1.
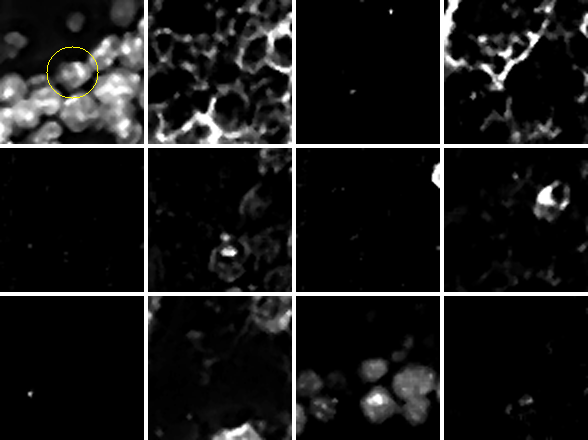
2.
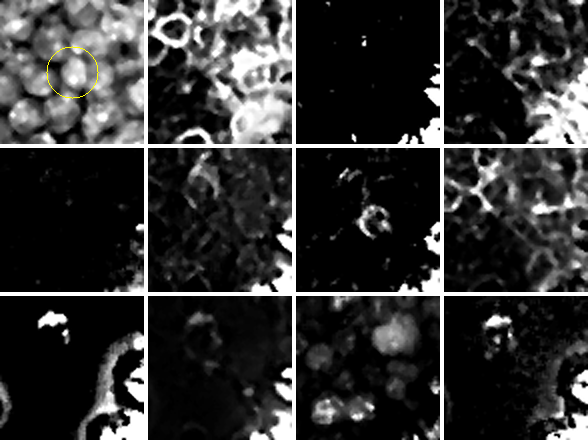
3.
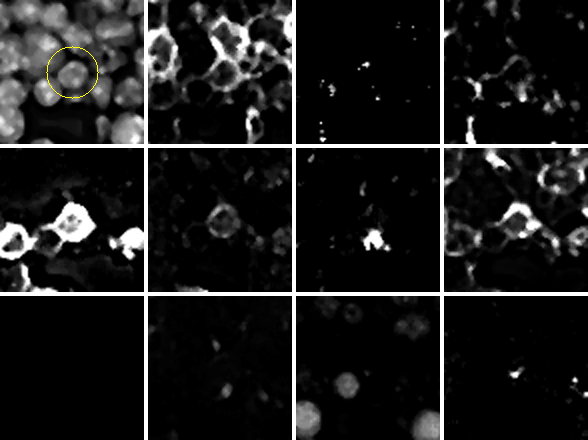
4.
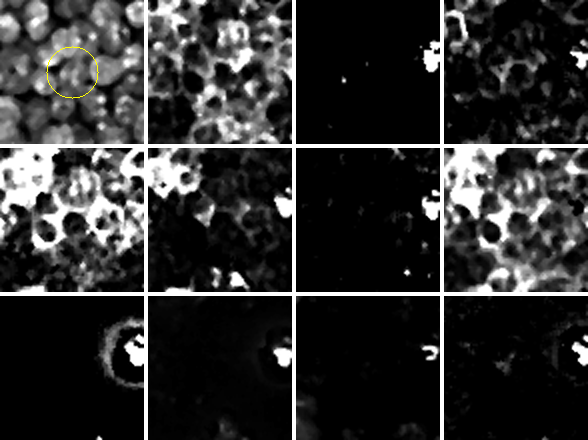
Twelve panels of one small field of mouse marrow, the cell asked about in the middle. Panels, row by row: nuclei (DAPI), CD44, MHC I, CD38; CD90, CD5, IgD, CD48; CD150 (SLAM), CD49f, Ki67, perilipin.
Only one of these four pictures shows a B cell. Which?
Picture 2.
